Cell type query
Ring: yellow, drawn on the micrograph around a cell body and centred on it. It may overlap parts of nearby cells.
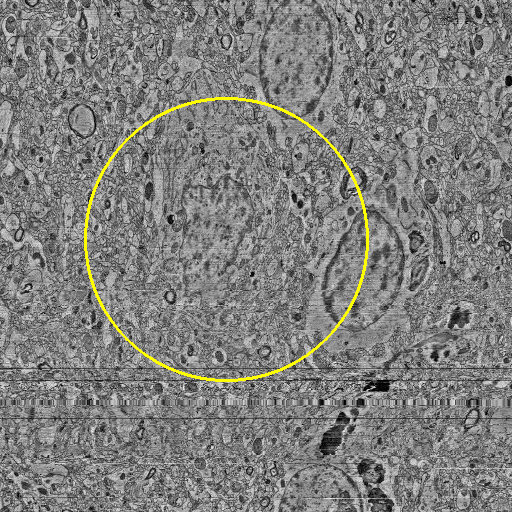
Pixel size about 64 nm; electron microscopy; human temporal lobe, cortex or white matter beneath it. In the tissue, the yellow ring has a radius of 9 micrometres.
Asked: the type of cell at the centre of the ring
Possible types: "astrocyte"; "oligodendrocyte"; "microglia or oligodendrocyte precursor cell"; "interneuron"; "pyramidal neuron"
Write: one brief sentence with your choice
The ring marks an interneuron.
